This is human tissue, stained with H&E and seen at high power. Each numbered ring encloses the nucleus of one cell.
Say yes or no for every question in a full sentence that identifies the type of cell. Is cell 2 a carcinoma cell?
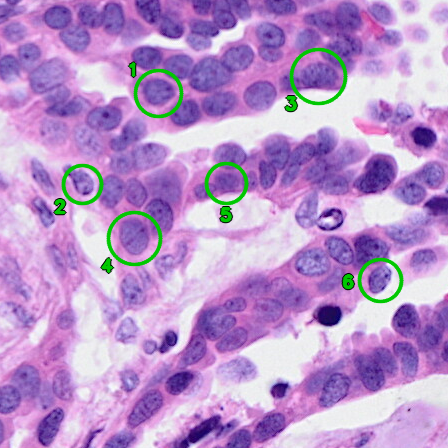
No, cell 2 isn't a carcinoma cell; it's a macrophage or monocyte.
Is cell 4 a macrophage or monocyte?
No, the right label for cell 4 is a carcinoma cell rather than a macrophage or monocyte.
